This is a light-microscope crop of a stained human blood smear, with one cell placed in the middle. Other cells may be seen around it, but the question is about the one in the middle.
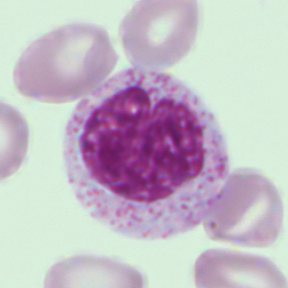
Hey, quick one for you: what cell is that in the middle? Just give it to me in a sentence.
The center cell of this crop is a band neutrophil.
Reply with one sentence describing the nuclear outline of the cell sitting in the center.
What stands out is a nucleus forming one compact round, oval or kidney-shaped mass.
